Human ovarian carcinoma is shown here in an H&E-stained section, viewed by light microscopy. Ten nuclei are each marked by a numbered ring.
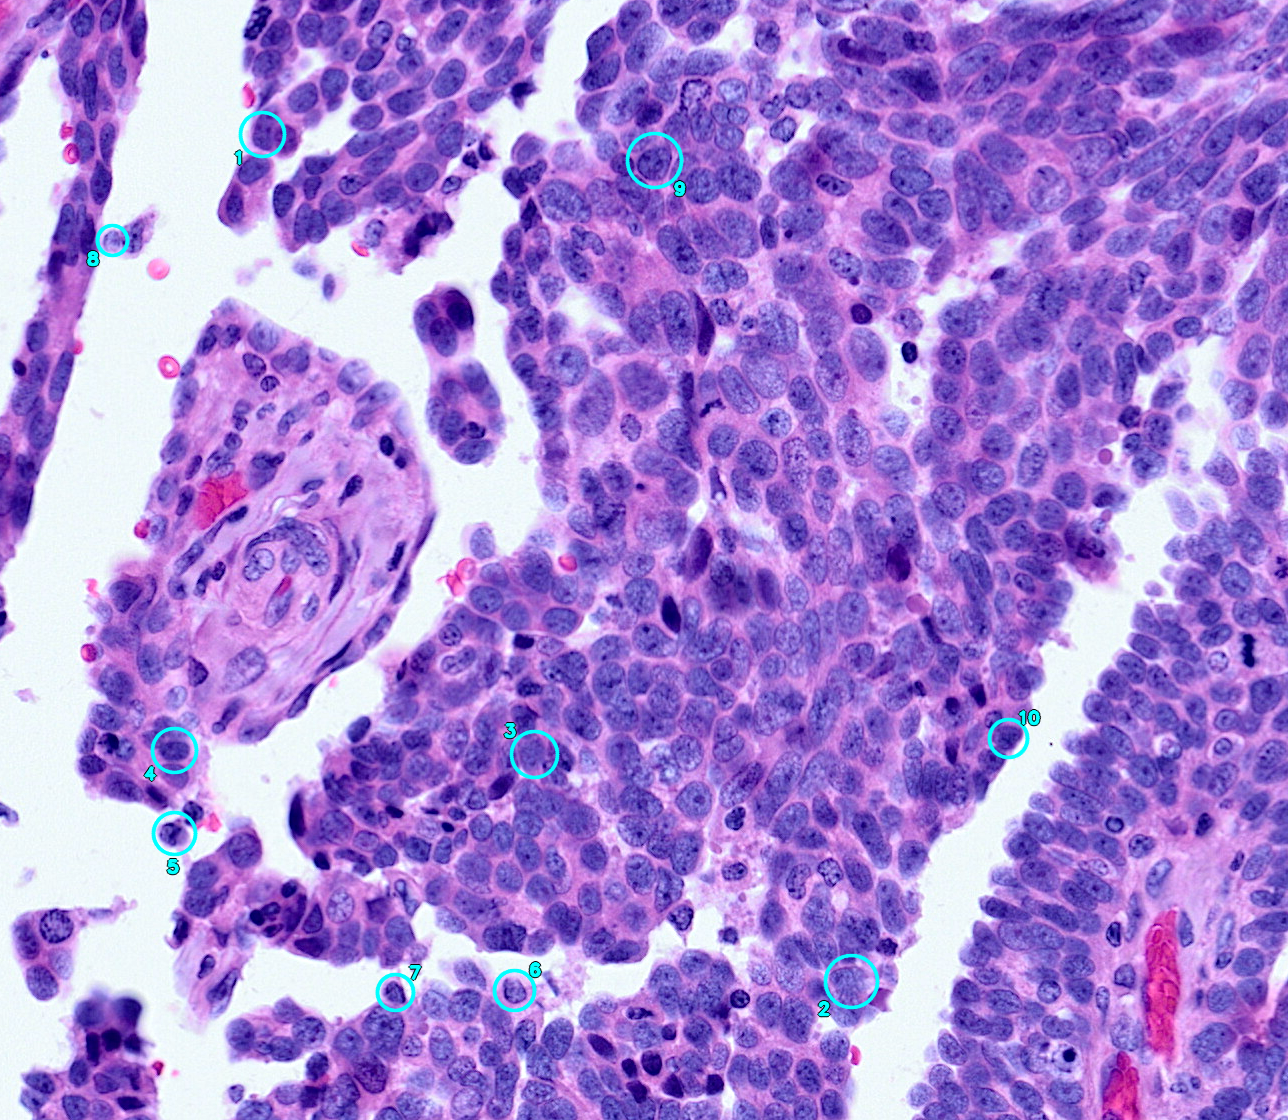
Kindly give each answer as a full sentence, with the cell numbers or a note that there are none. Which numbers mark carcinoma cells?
The cells 1, 2, 3, 4, 9 and 10 in this section are carcinoma cells.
